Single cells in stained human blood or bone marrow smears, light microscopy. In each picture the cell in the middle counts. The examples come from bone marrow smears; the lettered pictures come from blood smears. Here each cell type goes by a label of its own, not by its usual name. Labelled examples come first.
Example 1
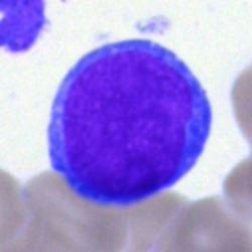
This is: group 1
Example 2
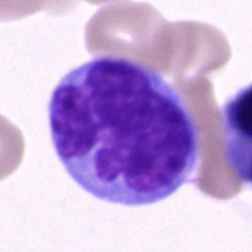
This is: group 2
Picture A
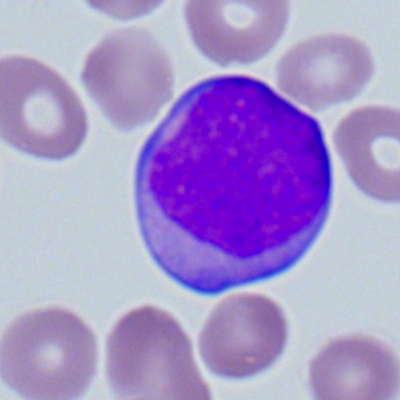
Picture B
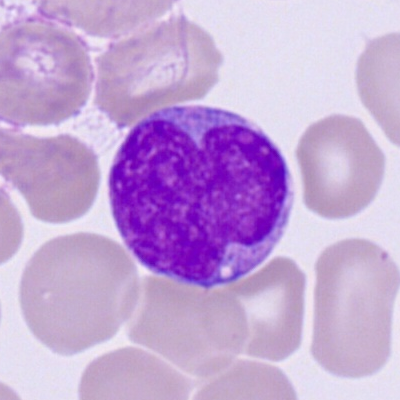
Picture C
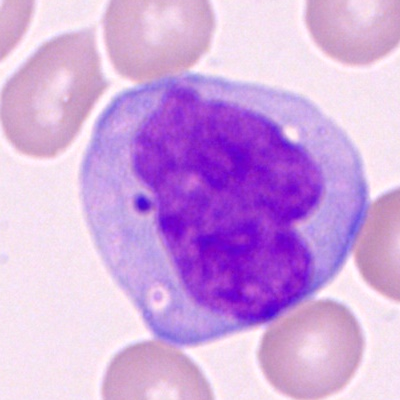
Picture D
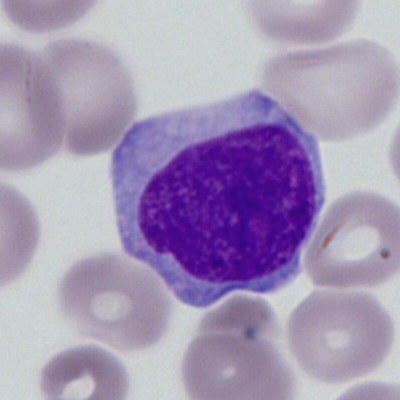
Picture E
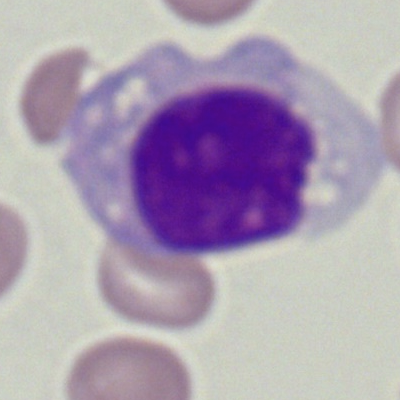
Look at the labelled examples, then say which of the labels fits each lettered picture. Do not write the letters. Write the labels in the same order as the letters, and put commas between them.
group 1, group 1, group 2, group 1, group 2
